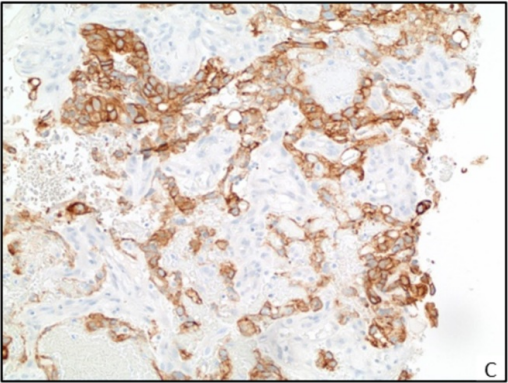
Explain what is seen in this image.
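Irregular clusters, cords and small groups of cells are outlined by brown staining at their borders and in their cytoplasm, while their round nuclei stay pale blue. Between them lies pale, largely unstained tissue with scattered spindle-shaped nuclei.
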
